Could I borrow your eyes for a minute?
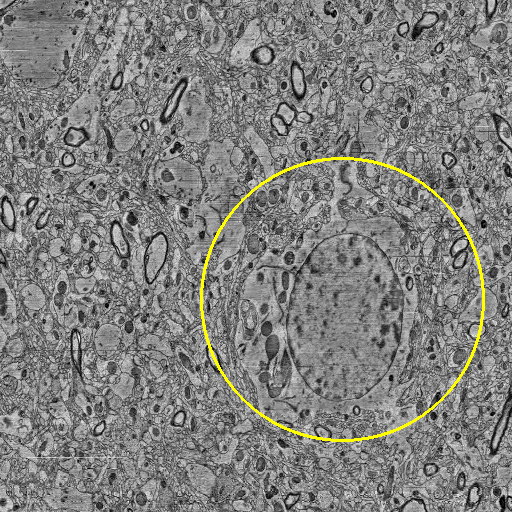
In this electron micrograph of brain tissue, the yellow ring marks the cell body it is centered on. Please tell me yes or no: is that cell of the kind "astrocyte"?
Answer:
yes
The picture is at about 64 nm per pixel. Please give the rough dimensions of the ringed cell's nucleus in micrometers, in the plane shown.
In this plane the nucleus is clearly longer than it is wide: roughly 11 by 7 micrometres.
